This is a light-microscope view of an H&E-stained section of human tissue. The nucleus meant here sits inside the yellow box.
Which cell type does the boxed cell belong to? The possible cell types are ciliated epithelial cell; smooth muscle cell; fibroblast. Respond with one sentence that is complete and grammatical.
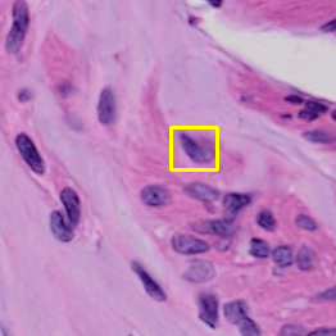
It is as a smooth muscle cell that the boxed cell is recorded.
